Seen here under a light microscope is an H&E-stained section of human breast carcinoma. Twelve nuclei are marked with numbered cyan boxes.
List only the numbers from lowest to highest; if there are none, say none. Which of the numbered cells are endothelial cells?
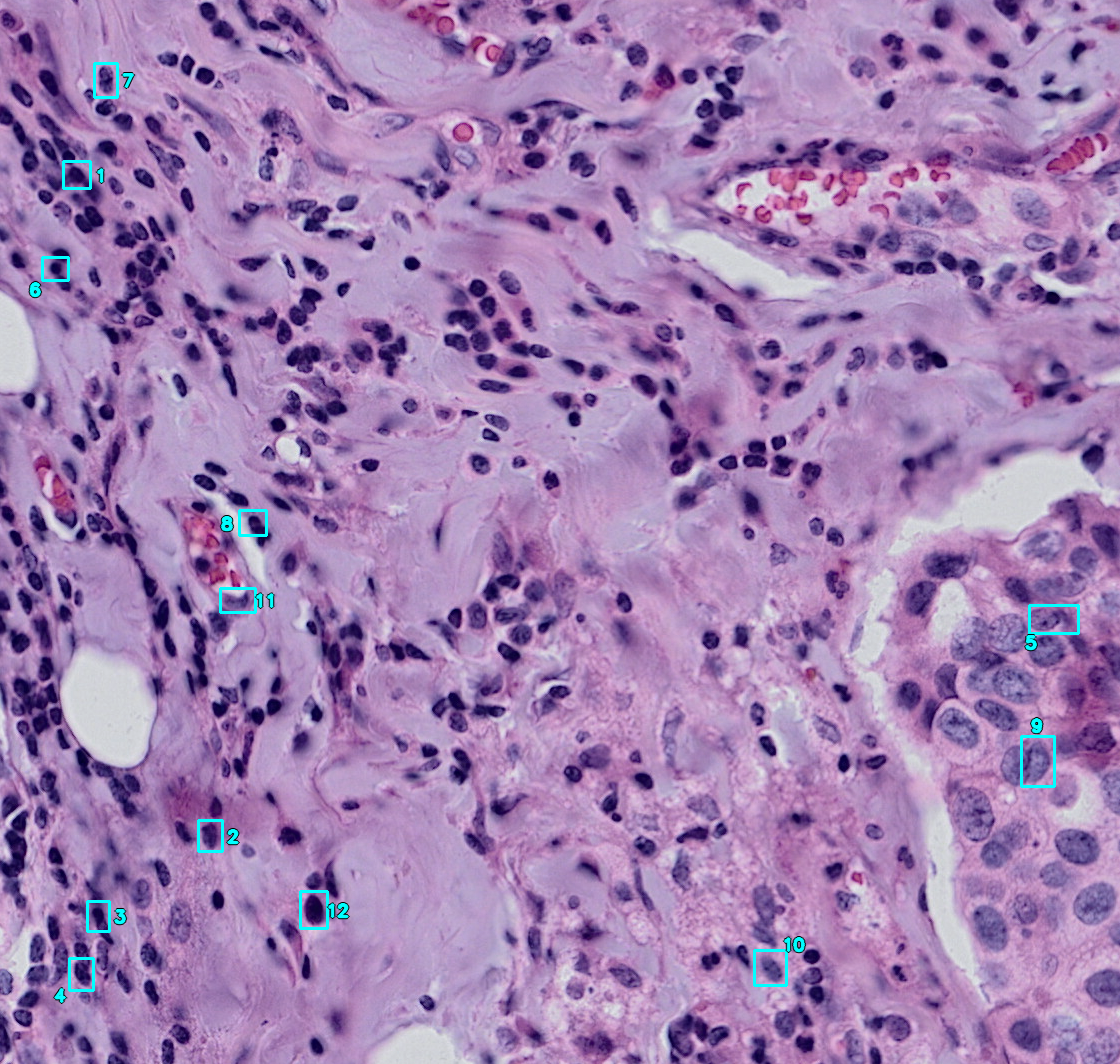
11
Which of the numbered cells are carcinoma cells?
5, 9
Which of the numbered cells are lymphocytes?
1, 2, 3, 4, 6, 8, 12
